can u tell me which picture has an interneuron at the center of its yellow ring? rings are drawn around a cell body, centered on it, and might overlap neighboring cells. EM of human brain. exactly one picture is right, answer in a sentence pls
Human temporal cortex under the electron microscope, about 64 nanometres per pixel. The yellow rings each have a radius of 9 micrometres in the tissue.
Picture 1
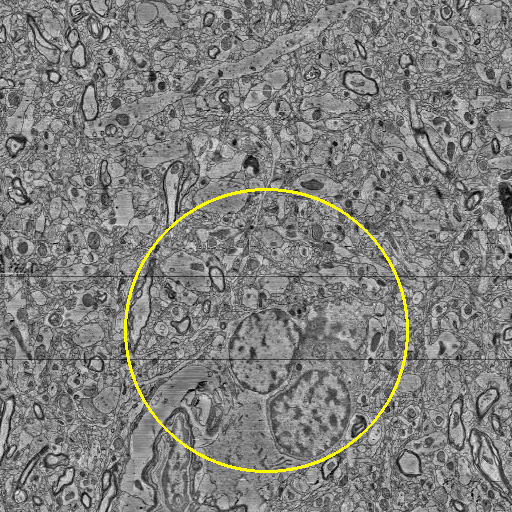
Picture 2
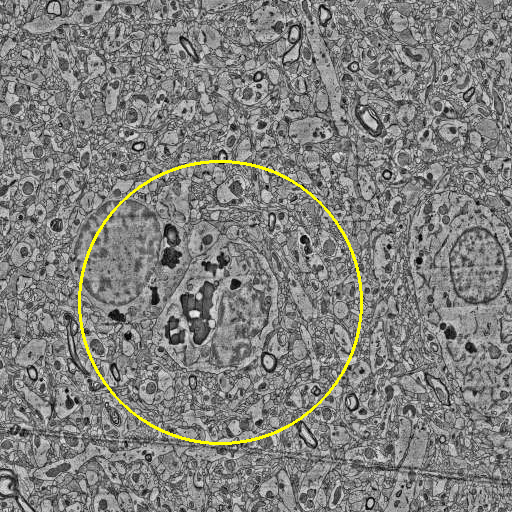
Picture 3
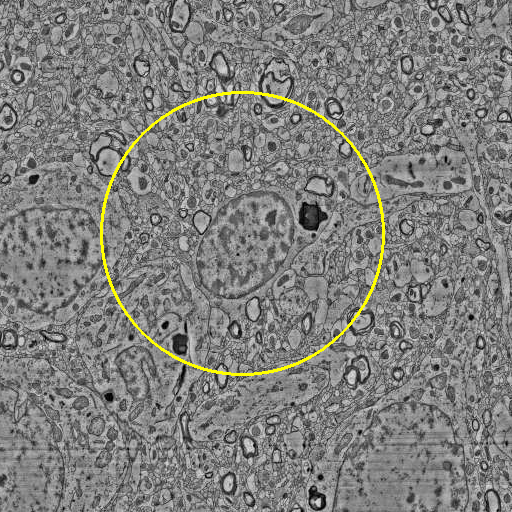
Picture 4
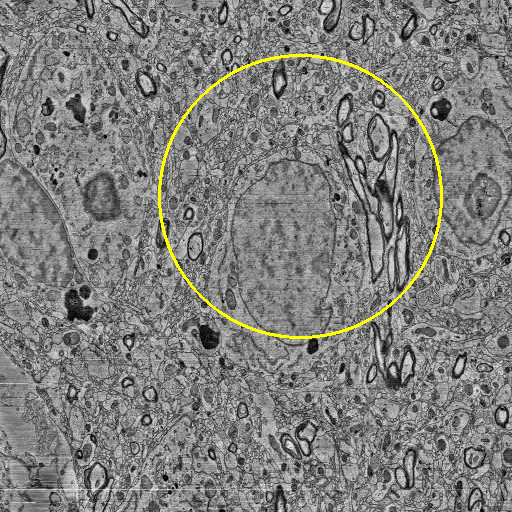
Picture 2 is the one.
